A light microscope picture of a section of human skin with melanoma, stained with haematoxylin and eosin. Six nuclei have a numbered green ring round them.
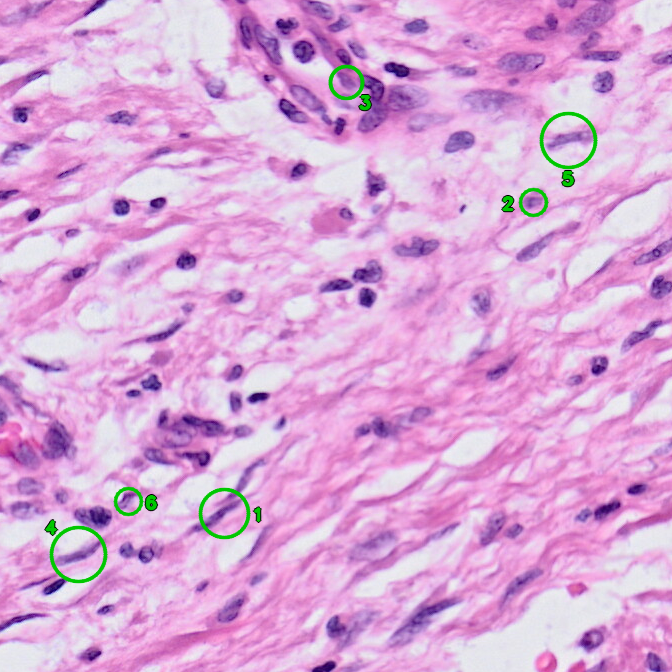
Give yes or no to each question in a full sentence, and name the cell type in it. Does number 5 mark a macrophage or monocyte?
No, the cell labelled number 5 is not a macrophage or monocyte; it is a fibroblast or myofibroblast.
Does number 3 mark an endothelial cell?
Yes, the cell pointed out as number 3 is an endothelial cell.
